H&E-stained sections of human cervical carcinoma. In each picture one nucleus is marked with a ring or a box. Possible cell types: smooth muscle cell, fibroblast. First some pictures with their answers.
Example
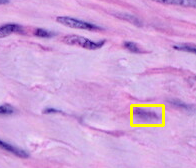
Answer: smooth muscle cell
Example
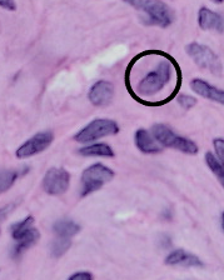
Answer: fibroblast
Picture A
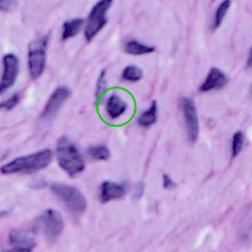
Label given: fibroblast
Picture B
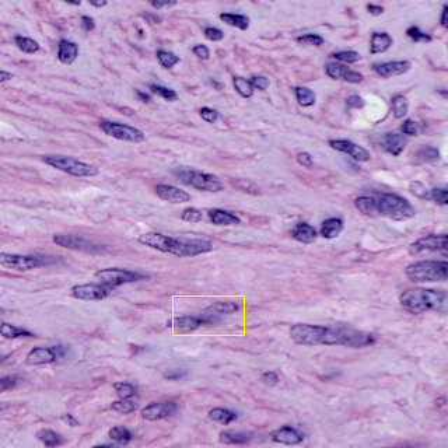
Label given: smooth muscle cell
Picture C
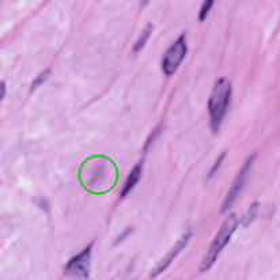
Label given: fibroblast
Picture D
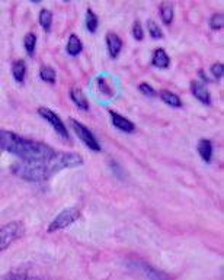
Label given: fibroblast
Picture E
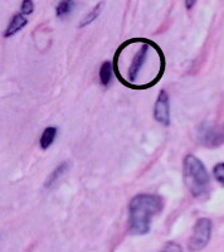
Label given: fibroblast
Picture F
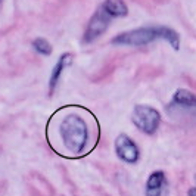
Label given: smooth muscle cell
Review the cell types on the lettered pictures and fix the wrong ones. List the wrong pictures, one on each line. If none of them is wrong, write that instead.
D: change fibroblast to smooth muscle cell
